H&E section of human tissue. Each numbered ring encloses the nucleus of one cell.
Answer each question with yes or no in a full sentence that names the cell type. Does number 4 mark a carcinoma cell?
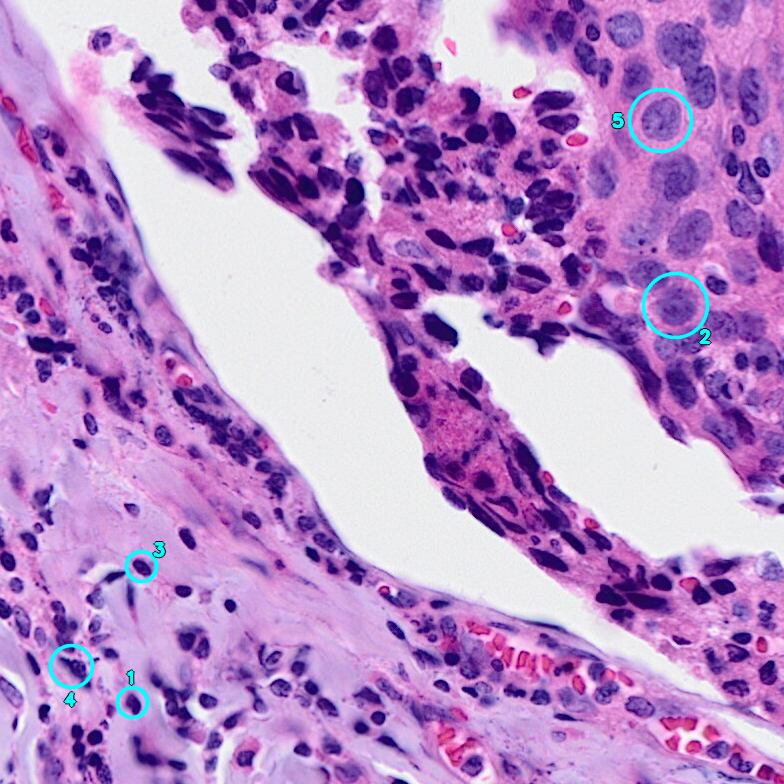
No, it's not a carcinoma cell at number 4; that cell is a lymphocyte.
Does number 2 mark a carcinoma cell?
Yes, cell 2 among the marked cells is a carcinoma cell.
